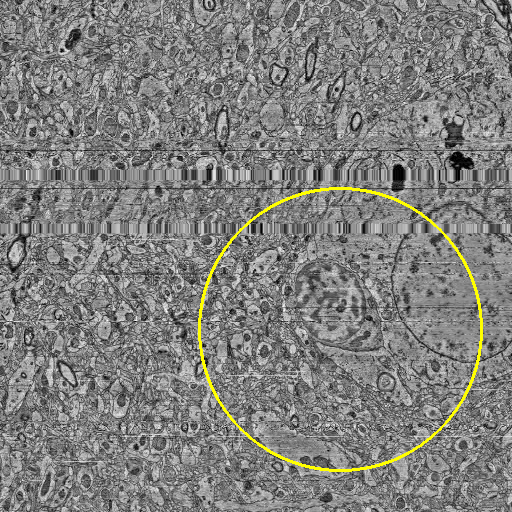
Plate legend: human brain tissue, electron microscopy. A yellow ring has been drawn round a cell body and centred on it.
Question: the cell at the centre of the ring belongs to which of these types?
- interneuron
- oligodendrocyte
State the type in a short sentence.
The cell in the middle of the ring is an oligodendrocyte.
